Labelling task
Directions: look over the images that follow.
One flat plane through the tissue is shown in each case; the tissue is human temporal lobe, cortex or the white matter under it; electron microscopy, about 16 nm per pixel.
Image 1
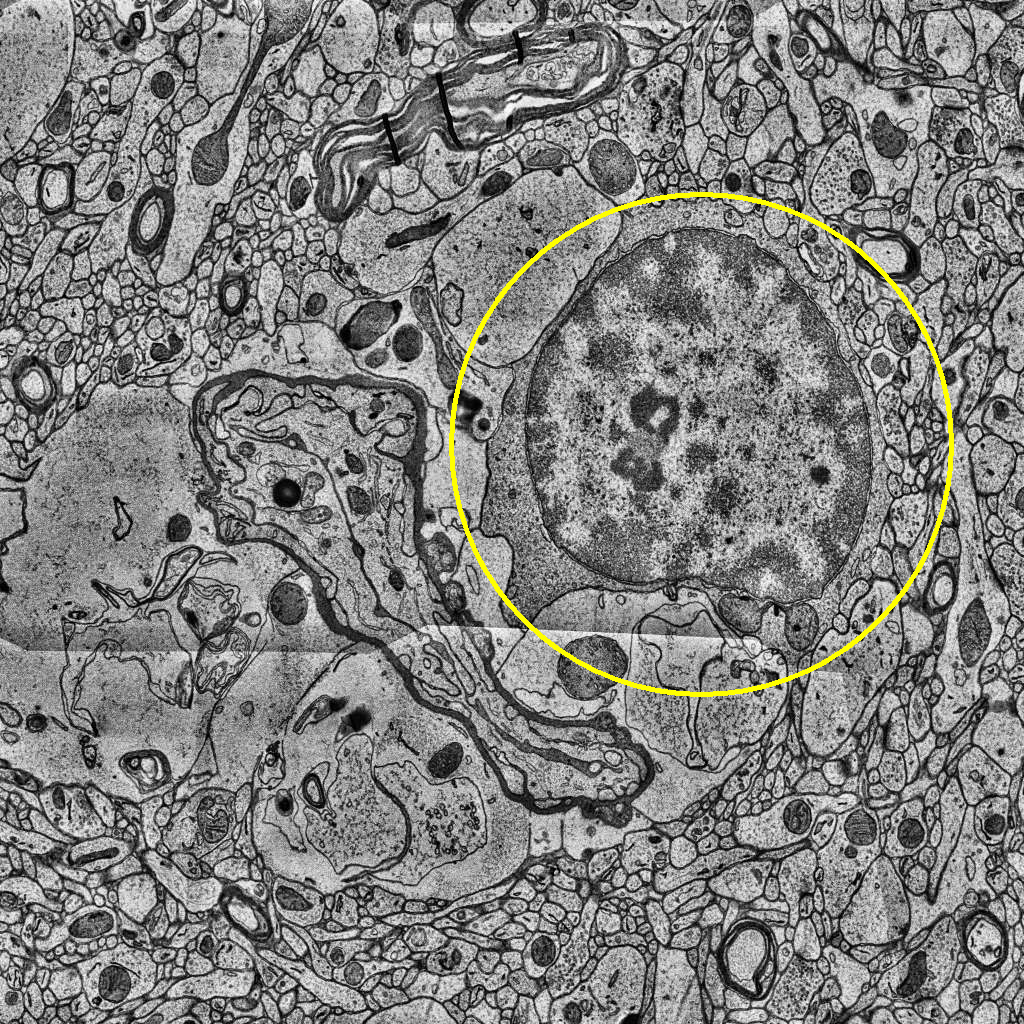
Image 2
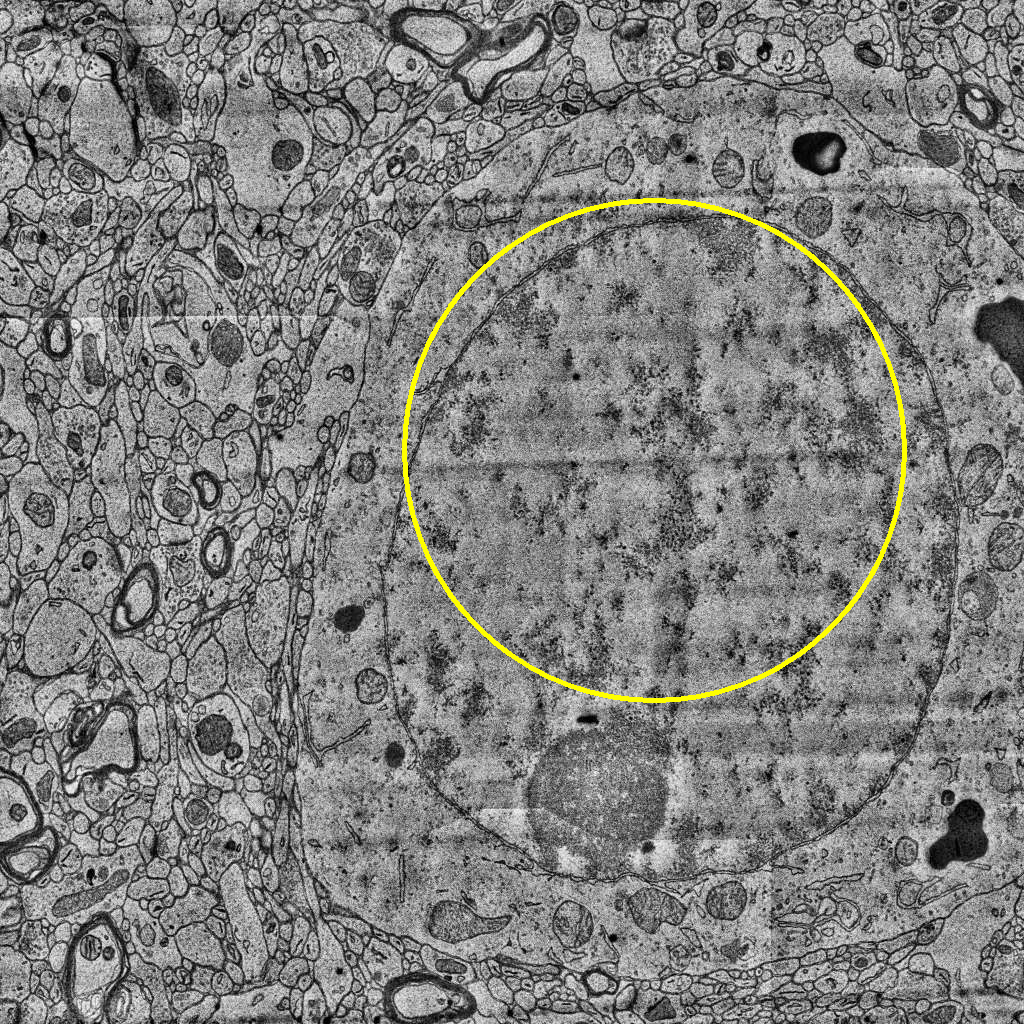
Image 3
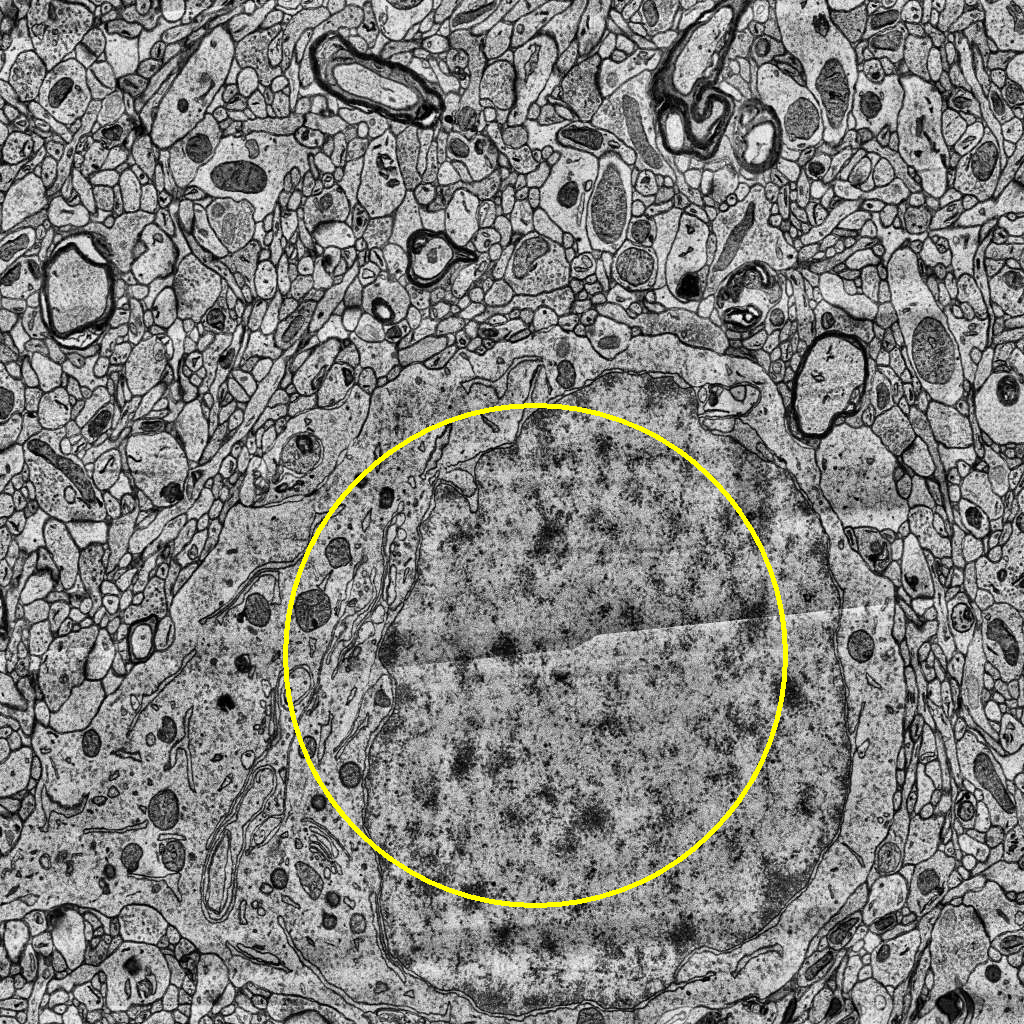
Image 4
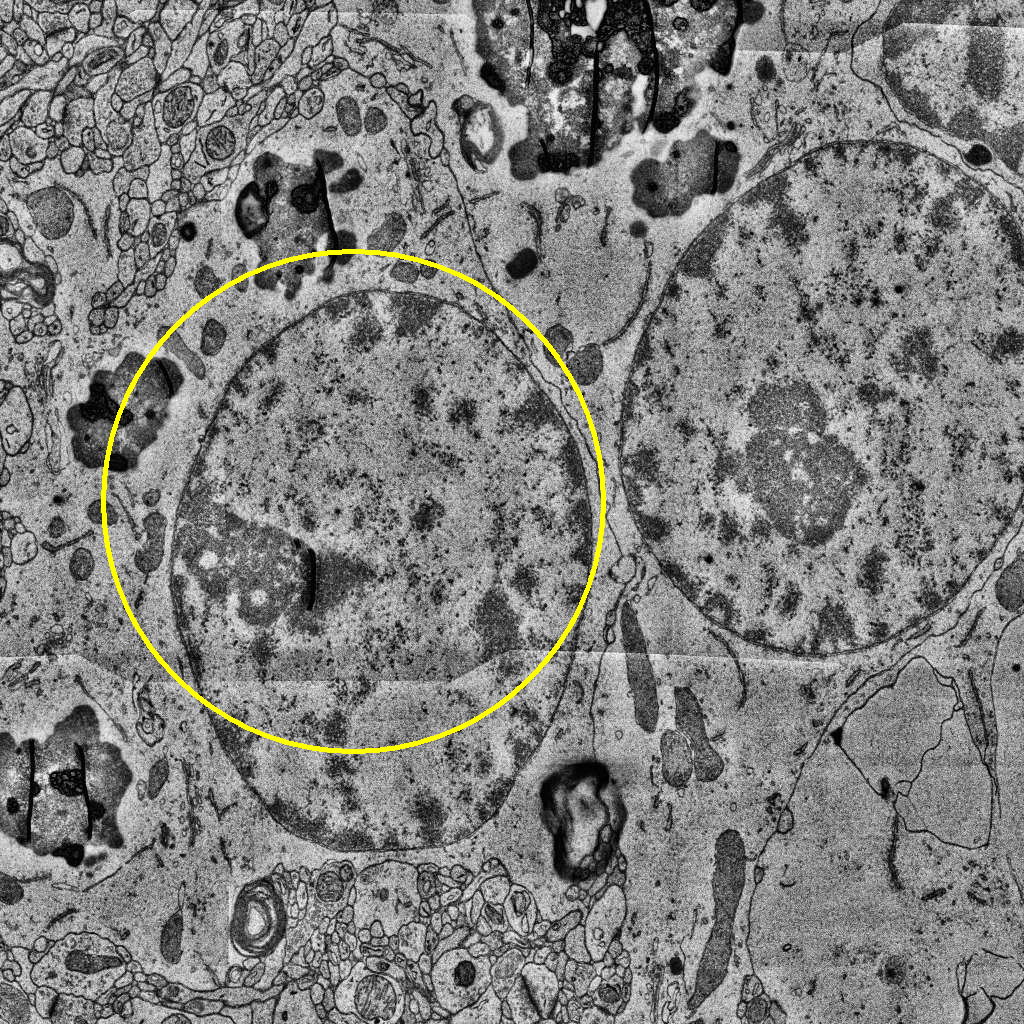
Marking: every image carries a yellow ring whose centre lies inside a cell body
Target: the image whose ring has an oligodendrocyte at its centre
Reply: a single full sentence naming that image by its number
The requested cell sits at the ring's centre in Image 1.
